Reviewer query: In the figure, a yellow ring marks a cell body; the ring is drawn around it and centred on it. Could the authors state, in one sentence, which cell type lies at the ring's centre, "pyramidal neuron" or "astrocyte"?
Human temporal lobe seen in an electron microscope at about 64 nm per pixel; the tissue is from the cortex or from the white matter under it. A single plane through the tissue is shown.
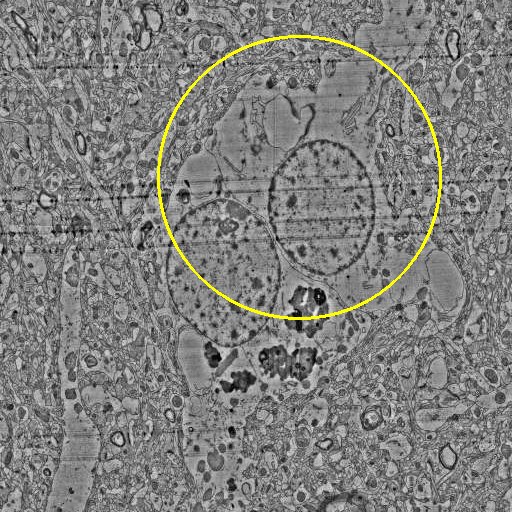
The ring is centred on an astrocyte.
